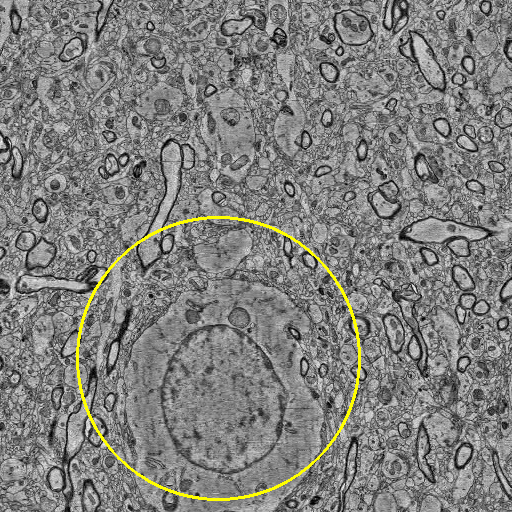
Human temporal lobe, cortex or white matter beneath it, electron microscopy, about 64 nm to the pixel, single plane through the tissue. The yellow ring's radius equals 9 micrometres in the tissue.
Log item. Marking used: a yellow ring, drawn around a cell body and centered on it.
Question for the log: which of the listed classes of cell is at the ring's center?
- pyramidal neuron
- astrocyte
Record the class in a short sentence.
At the center of the ring lies an astrocyte.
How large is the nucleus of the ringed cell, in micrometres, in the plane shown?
About 10 by 8 micrometers for the nucleus, in this plane.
